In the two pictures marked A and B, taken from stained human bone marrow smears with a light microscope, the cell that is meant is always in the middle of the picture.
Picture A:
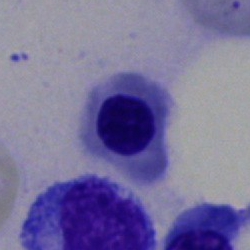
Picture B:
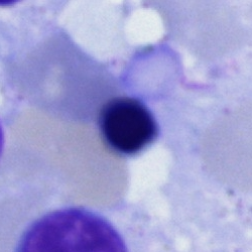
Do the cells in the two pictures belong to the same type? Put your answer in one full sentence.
Yes, the two pictures both show erythroblasts.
